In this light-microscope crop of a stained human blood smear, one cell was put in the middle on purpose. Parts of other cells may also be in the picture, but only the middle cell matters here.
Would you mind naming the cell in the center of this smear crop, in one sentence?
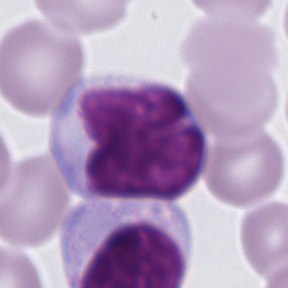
The central cell, amid any neighbouring cells, is a large granular lymphocyte.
